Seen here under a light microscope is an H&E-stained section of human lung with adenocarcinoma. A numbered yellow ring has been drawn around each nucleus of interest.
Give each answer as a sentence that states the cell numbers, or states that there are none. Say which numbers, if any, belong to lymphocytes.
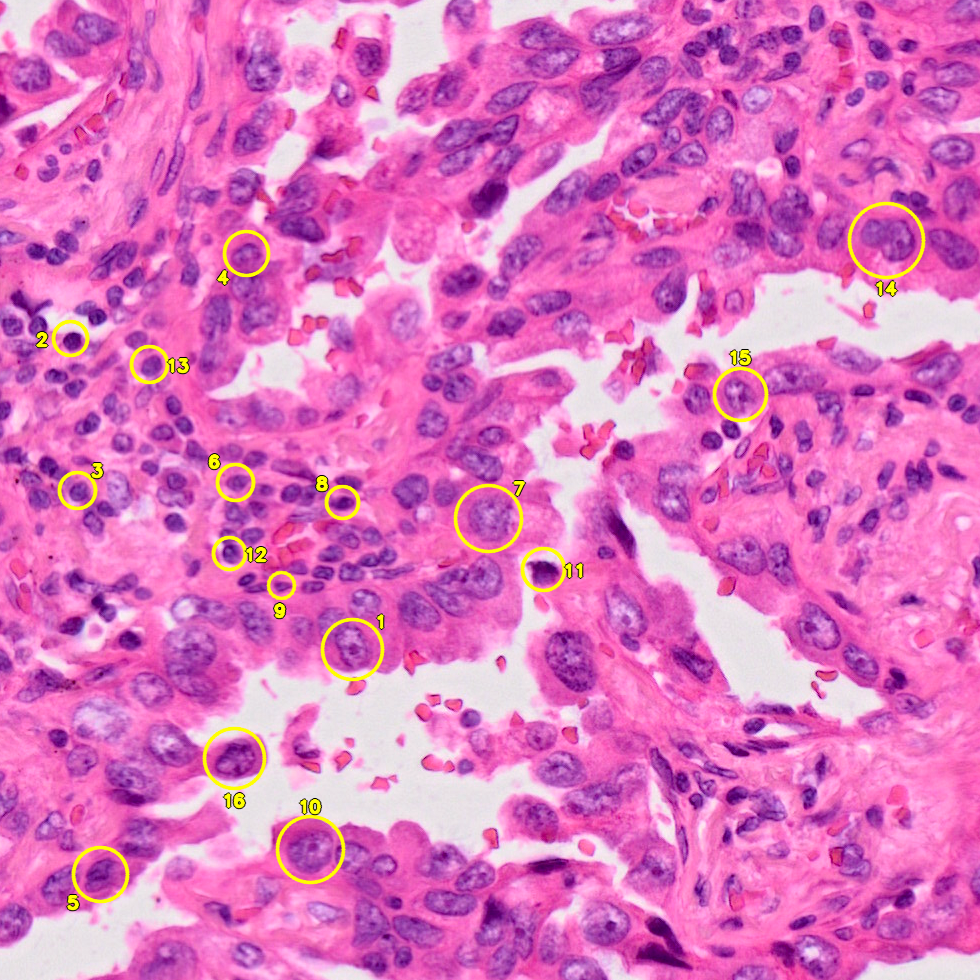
In this section, the cells numbered 2, 3, 6, 8, 9, 12 and 13 are lymphocytes.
